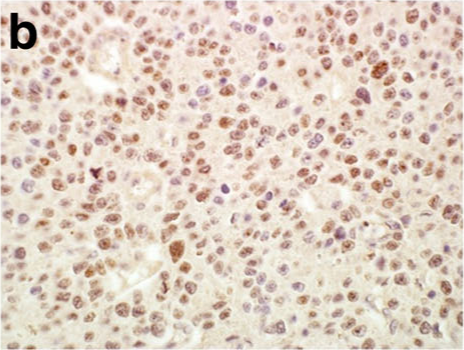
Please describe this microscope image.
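A solid sheet of densely packed tumor cells fills the field, with no glands or normal tissue organisation. The cells have round to oval nuclei that vary somewhat in size, and a moderate amount of pale cytoplasm. Most nuclei are stained brown, with varying intensity; a few are paler and bluish. Scattered small clear spaces, some resembling thin-walled vessels, interrupt the sheet.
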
